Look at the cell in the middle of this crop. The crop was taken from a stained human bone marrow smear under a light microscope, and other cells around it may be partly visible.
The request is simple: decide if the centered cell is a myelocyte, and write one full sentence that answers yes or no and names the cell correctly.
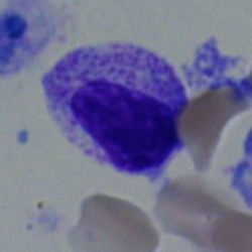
Yes, the cell found in the middle is a myelocyte.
